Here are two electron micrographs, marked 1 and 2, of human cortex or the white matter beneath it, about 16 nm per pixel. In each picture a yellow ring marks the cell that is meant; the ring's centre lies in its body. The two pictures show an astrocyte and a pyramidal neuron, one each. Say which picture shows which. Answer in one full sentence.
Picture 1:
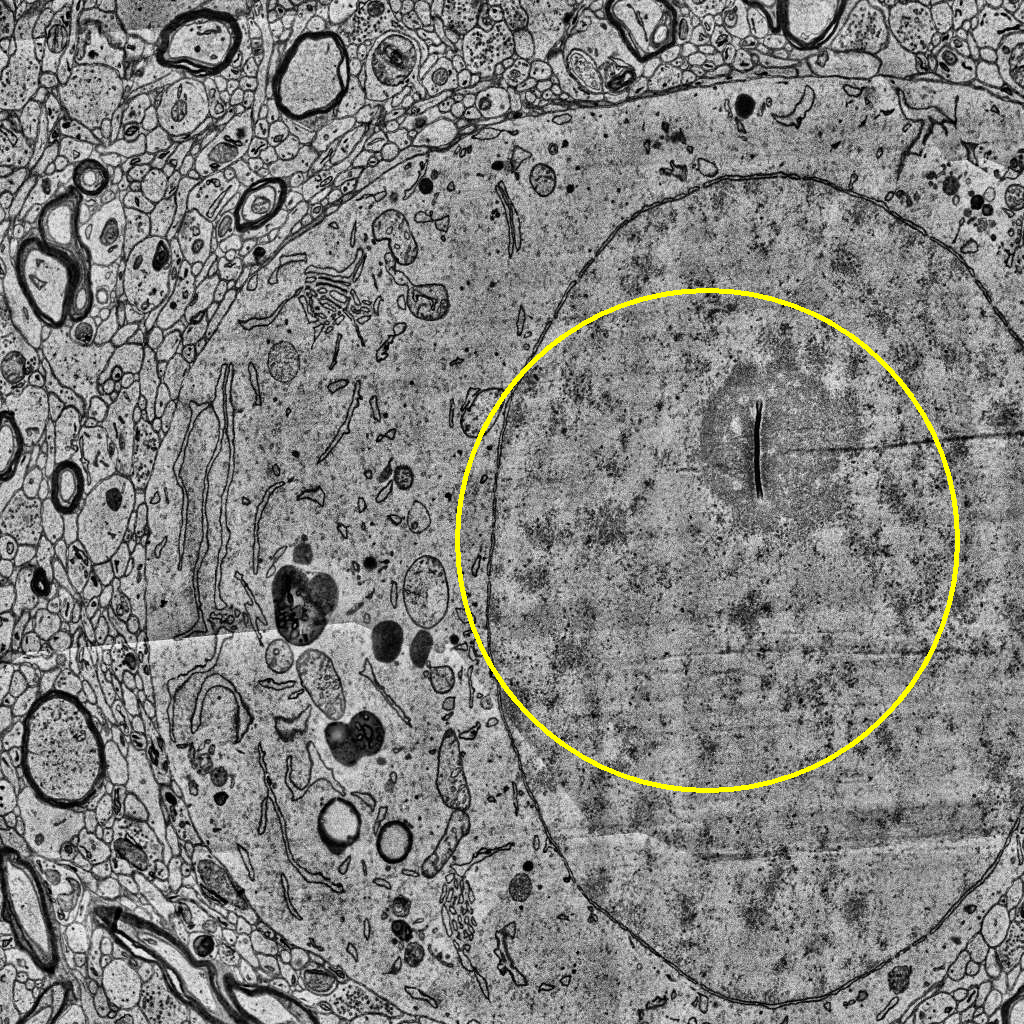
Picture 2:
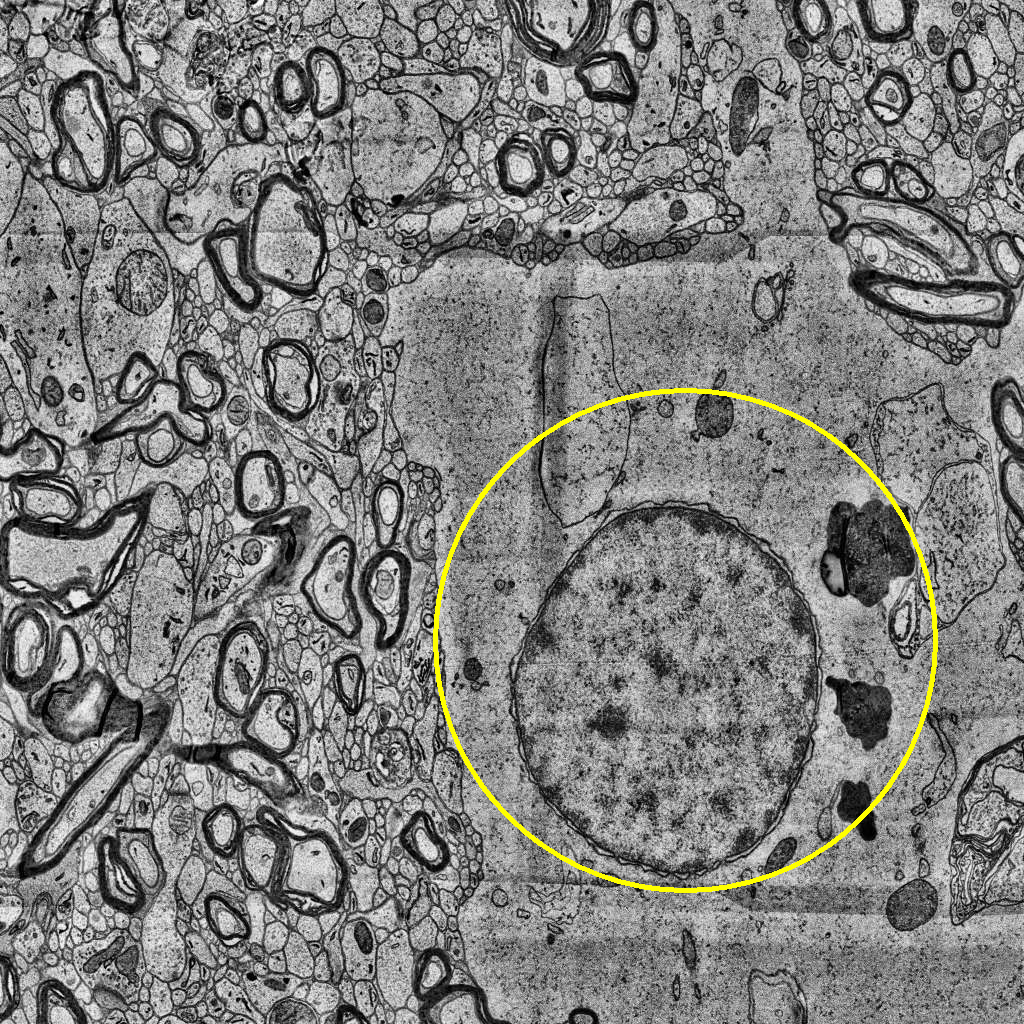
Picture 2 shows an astrocyte, while picture 1 shows a pyramidal neuron.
